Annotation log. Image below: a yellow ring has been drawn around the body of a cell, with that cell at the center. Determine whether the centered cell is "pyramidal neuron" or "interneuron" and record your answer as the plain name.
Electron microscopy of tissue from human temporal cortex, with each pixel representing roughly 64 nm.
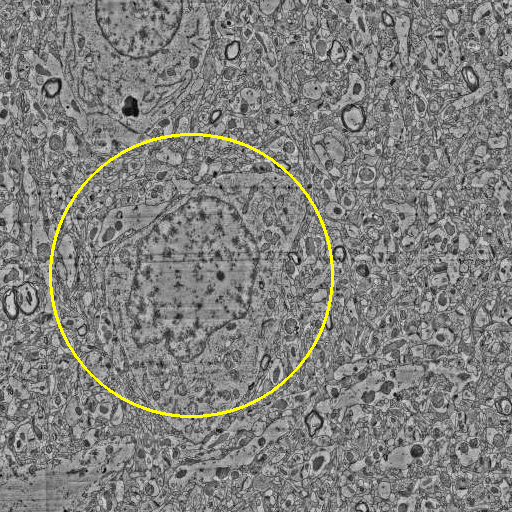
interneuron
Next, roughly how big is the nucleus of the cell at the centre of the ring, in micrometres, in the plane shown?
In this plane the nucleus measures roughly 11 by 8 micrometres.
